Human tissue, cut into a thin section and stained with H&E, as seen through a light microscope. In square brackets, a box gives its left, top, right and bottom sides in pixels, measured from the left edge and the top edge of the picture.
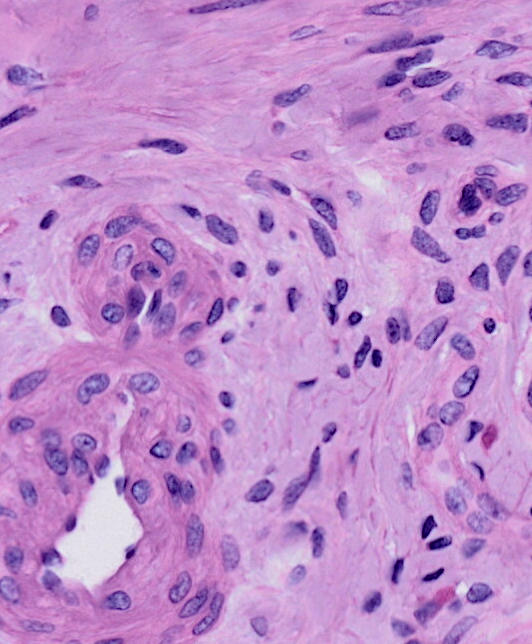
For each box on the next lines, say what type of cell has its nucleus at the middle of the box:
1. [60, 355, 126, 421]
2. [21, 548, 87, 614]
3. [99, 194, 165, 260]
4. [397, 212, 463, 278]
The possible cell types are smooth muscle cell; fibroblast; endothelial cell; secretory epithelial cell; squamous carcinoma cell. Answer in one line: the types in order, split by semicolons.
smooth muscle cell; endothelial cell; smooth muscle cell; fibroblast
